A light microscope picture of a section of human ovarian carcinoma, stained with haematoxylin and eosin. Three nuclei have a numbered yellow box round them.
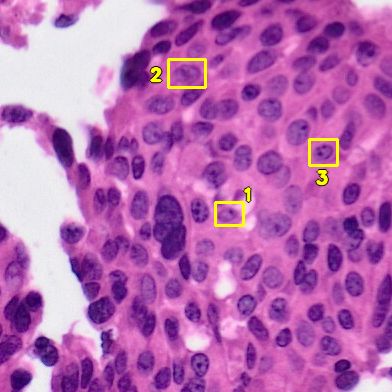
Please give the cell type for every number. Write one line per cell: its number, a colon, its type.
1: macrophage or monocyte
2: carcinoma cell
3: macrophage or monocyte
